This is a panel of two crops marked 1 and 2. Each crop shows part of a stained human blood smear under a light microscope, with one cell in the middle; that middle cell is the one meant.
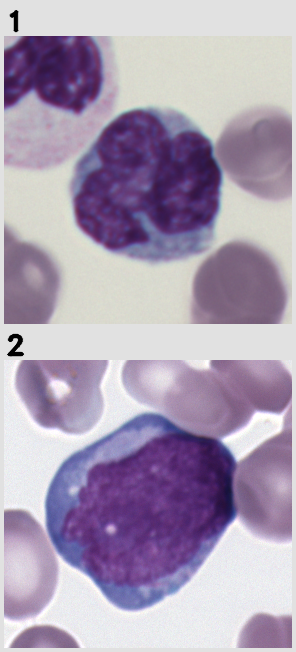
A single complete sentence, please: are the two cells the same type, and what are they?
No, crop 1 contains a monocyte, whereas crop 2 contains a myeloblast.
